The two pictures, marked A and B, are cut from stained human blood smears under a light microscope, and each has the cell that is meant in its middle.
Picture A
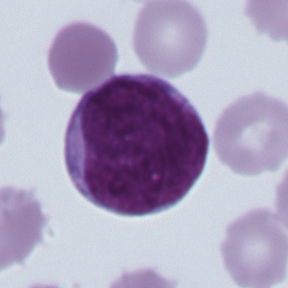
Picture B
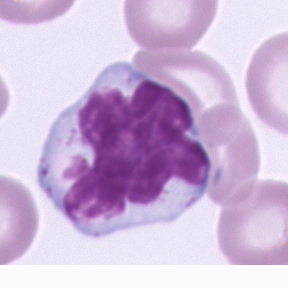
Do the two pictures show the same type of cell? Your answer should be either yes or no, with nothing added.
no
